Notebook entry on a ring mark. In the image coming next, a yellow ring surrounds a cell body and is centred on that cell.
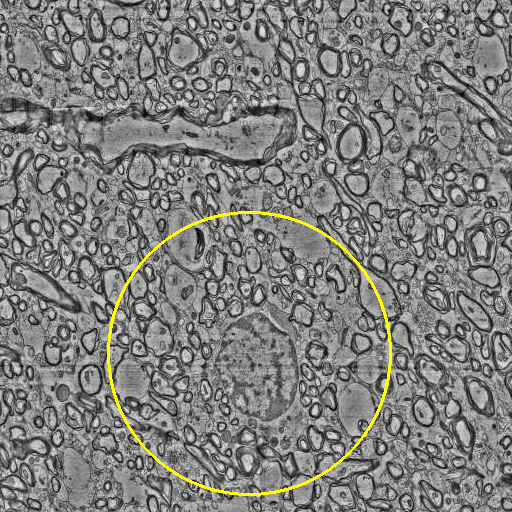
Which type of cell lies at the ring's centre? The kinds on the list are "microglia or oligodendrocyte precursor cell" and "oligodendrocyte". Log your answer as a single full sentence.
Centred in the yellow ring is an oligodendrocyte, the cell recorded for this image.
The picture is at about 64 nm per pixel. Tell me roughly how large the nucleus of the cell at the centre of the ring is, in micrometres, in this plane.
The nucleus of the ringed cell is approximately 7 by 5 micrometres in this plane.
